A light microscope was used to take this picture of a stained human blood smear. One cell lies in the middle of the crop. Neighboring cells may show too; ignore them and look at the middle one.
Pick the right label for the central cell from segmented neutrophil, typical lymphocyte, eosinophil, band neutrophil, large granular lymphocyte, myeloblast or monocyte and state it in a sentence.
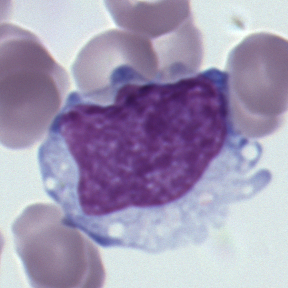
Classification of the middle cell gives a myeloblast.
